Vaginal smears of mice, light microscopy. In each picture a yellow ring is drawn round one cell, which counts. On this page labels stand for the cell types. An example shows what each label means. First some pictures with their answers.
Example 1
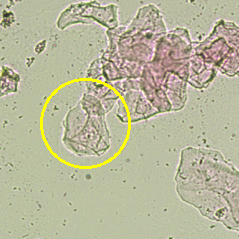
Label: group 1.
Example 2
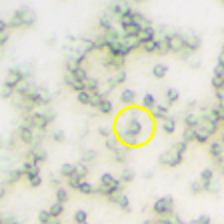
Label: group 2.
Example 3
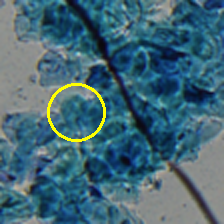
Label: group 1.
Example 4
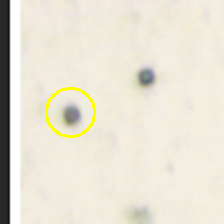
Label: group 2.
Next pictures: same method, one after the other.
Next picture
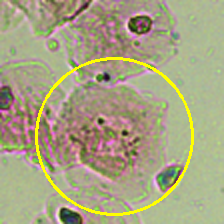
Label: group 1.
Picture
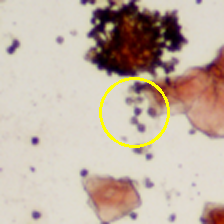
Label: group 2.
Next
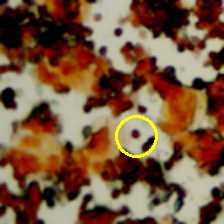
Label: group 2.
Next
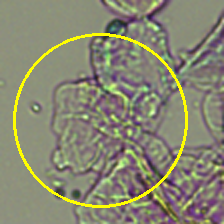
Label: group 1.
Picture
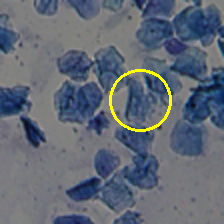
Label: group 1.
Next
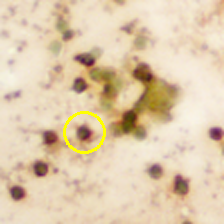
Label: group 2.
